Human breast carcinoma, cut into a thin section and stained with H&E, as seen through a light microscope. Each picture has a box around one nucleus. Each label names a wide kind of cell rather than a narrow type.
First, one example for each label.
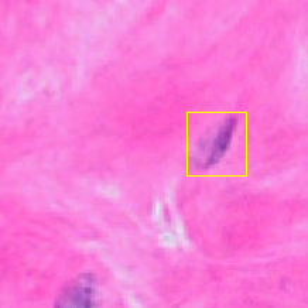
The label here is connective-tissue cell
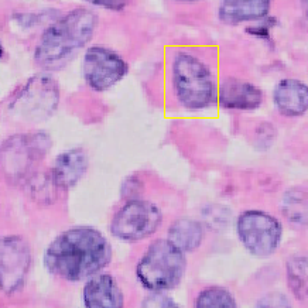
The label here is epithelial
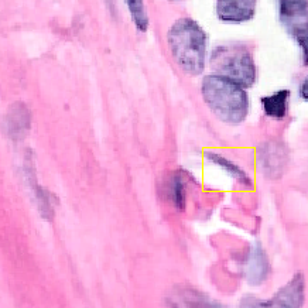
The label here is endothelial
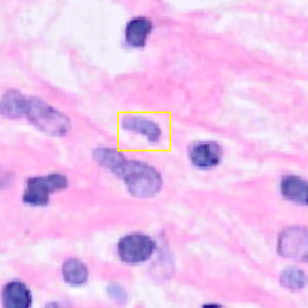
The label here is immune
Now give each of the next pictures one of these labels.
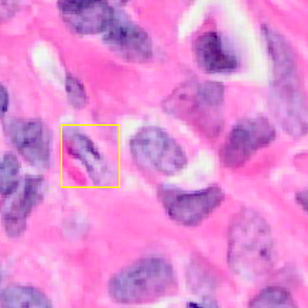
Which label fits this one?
endothelial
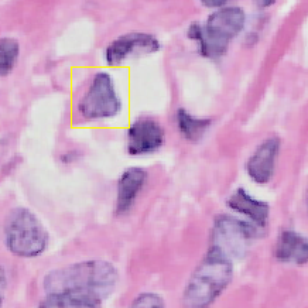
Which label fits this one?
epithelial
